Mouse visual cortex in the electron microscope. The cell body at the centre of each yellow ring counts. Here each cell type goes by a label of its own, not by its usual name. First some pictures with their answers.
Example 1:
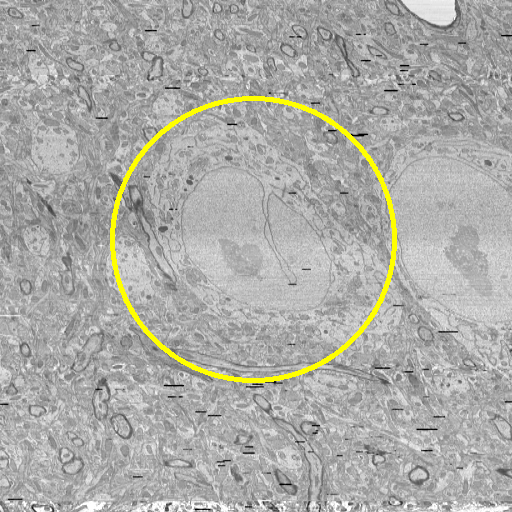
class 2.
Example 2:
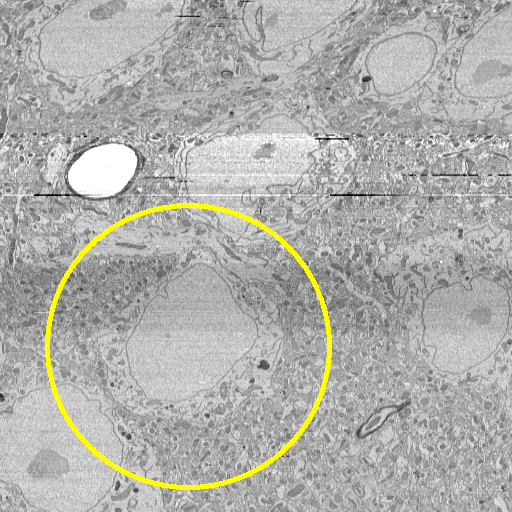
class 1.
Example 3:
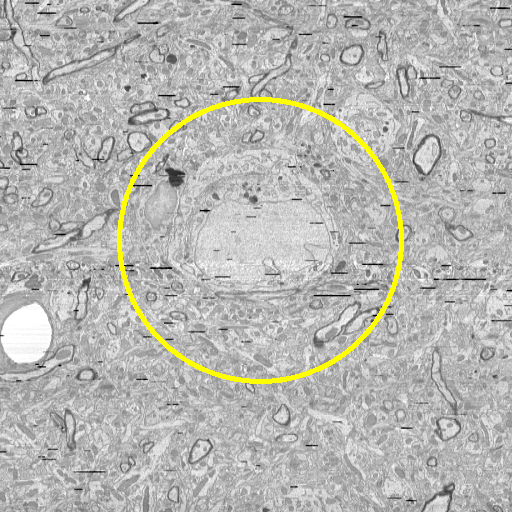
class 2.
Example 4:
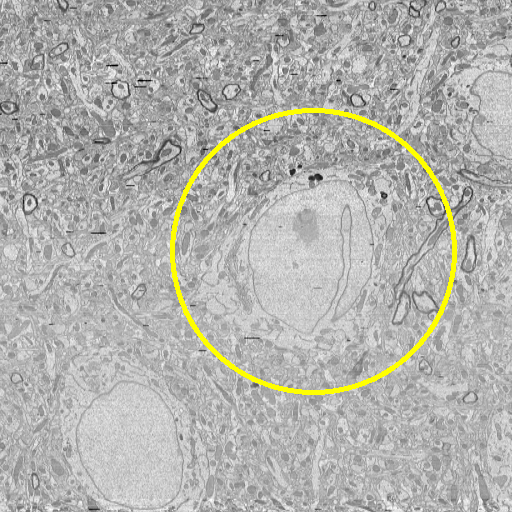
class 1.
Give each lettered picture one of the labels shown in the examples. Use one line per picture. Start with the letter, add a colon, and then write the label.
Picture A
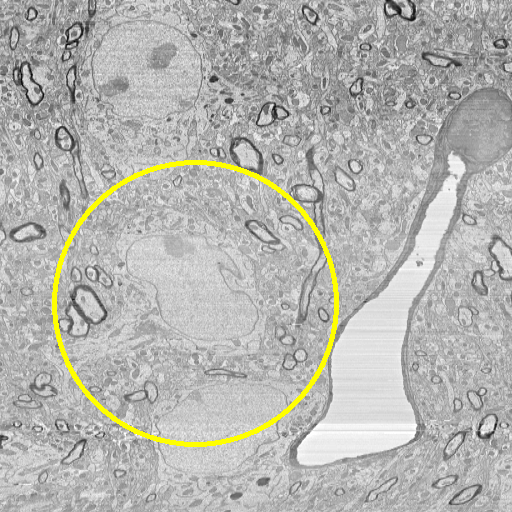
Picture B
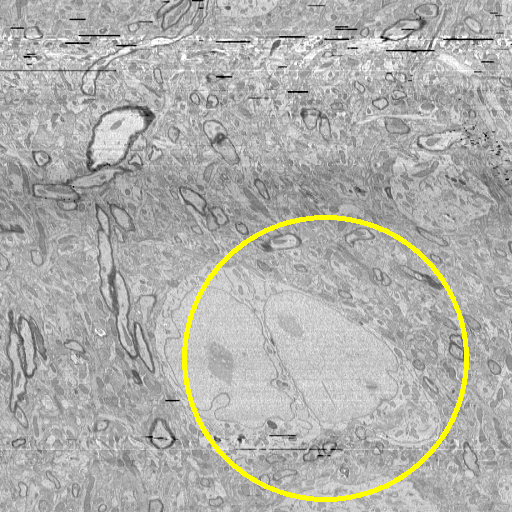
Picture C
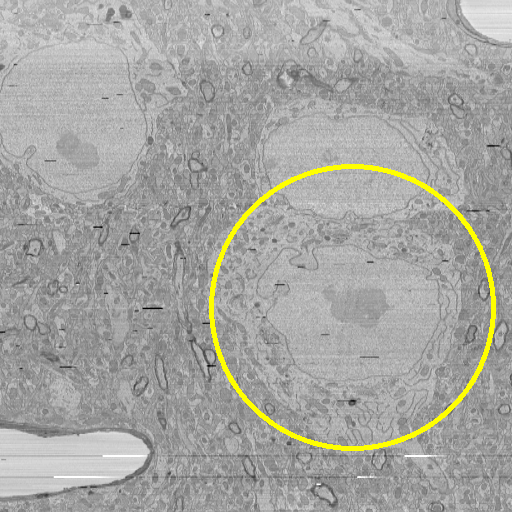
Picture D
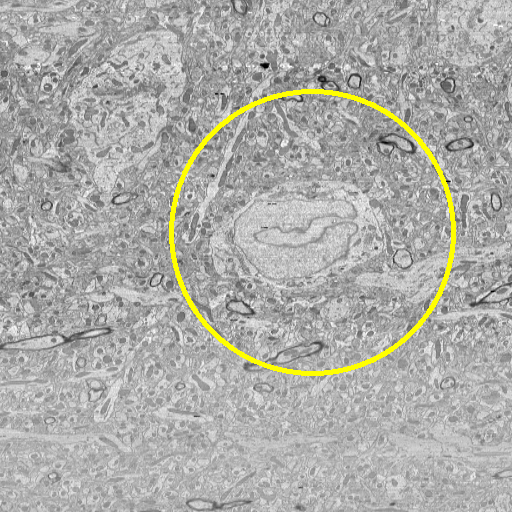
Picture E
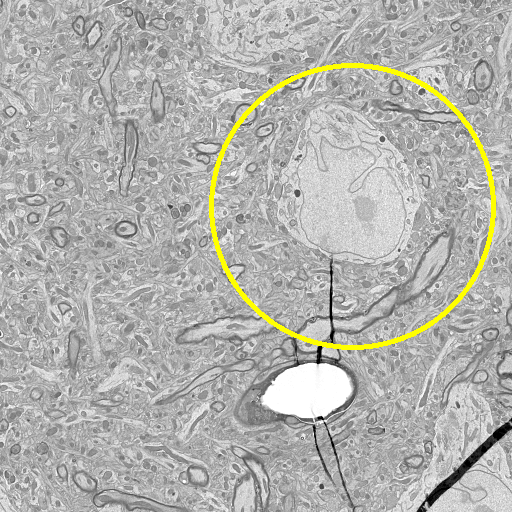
A: class 1.
B: class 2.
C: class 1.
D: class 2.
E: class 1.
